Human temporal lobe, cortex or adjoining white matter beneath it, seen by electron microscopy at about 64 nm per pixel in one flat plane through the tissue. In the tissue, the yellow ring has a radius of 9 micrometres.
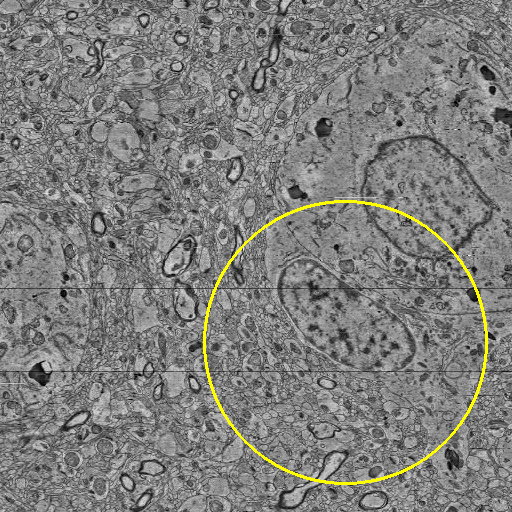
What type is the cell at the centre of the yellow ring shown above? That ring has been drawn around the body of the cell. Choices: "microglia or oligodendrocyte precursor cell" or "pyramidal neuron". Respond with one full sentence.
My answer is that a microglial cell or oligodendrocyte precursor cell lies at the centre of the yellow ring above.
